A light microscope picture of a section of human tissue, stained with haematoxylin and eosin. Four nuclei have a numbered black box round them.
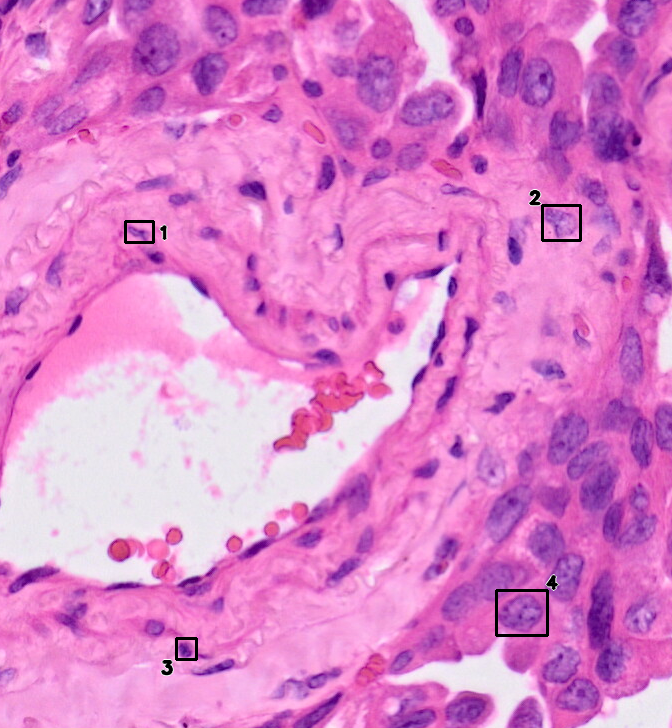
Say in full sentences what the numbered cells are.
Cells 1 and 3 are smooth muscle cells or pericytes. Cell 2 is a fibroblast. Cell 4 is a carcinoma cell.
